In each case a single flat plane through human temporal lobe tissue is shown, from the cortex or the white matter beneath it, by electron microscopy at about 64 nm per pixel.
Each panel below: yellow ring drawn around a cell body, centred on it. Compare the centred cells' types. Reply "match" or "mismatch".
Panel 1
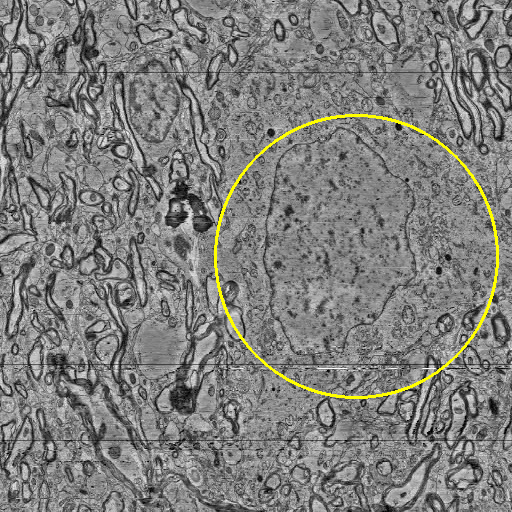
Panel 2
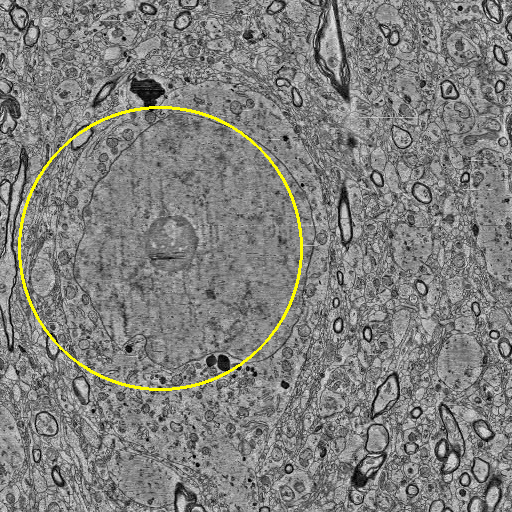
match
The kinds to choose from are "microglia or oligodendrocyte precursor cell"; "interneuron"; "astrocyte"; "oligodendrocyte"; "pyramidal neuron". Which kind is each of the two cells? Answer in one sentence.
The first and the second cell are each a pyramidal neuron.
